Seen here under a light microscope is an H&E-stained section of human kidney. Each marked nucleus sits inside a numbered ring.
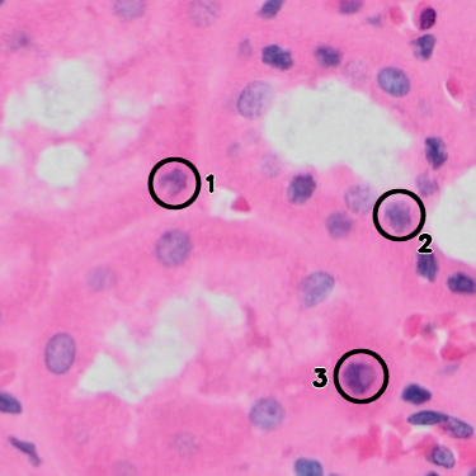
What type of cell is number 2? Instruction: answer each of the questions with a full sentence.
As for number 2, that cell is a loop of Henle or distal tubule cell.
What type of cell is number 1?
The cell referred to as 1 is a proximal tubule cell.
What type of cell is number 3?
Regarding cell 3, this one is a proximal tubule cell.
